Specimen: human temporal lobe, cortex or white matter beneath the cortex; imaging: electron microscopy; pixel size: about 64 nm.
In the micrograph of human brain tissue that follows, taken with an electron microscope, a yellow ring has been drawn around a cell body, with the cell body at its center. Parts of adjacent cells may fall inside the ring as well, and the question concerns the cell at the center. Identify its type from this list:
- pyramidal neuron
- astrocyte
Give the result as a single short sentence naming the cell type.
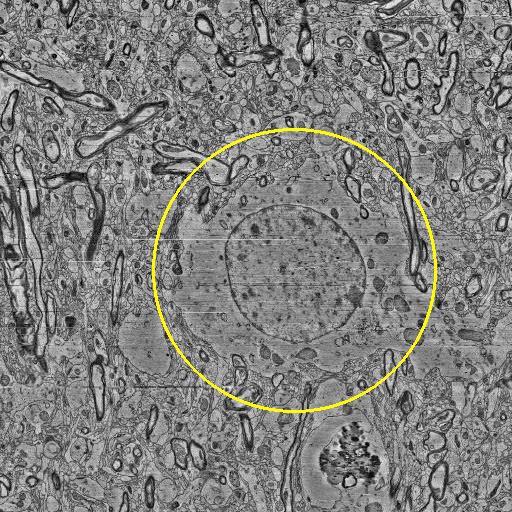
The ring is centered on an astrocyte.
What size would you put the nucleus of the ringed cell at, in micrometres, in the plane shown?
In this plane, the nucleus measures approximately 9 micrometres across.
